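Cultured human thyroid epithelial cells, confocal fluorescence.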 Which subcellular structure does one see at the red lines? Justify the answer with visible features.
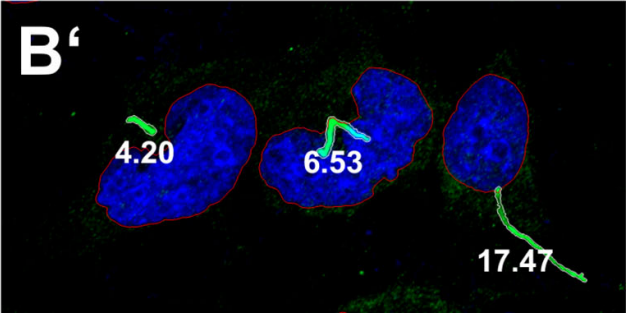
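The red lines trace the edges of large oval blue-stained bodies. Each outlined body shows a mottled texture.
Answer: nuclei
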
